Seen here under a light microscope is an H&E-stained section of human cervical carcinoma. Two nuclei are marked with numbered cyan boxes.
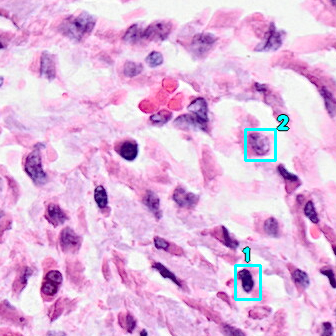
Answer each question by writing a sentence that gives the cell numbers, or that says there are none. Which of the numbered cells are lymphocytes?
Cell 1 stands alone among the numbered cells as a lymphocyte.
